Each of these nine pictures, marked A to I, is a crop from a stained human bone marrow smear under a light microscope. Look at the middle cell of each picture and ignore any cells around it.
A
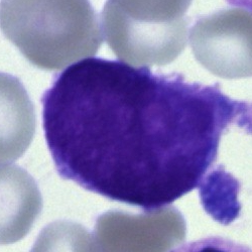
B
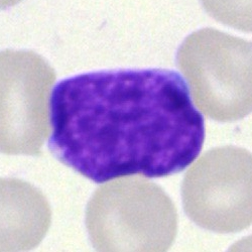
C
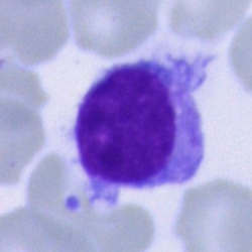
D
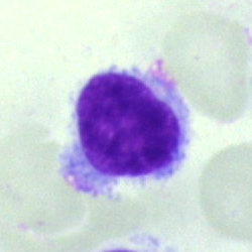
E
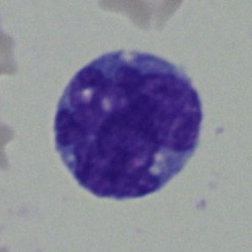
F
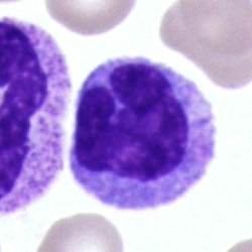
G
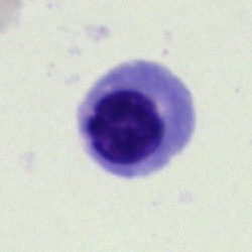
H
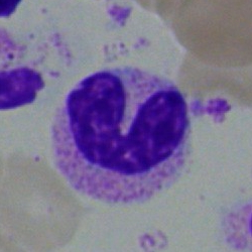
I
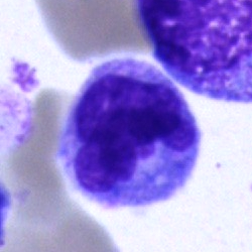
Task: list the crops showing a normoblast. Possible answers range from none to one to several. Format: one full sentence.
Crop G is the one crop in the series that shows a normoblast.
